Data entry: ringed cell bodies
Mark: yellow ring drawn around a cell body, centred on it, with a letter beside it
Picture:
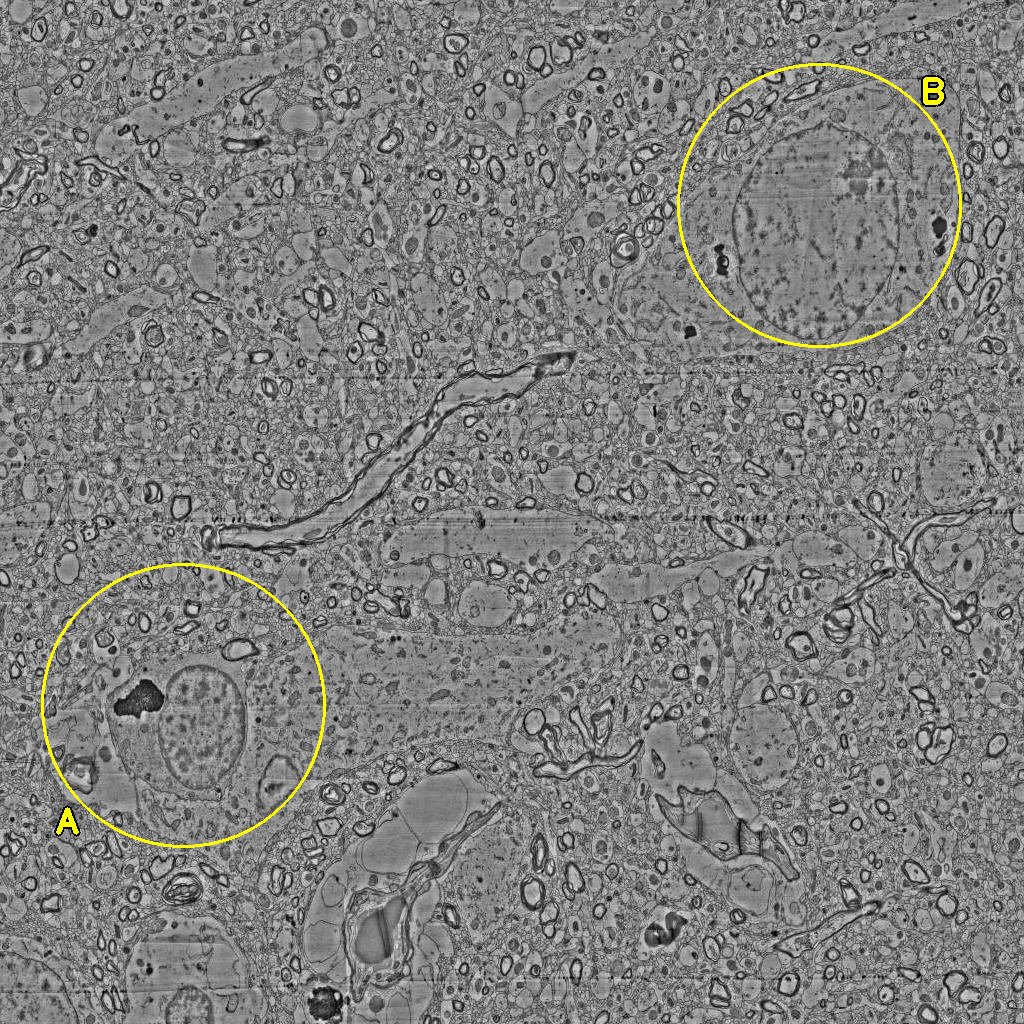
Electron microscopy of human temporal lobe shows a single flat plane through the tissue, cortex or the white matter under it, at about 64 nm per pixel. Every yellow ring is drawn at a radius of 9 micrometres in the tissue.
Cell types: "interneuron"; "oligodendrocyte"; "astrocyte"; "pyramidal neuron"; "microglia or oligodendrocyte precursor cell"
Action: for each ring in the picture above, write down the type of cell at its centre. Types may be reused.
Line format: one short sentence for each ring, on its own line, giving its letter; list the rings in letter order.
For ring A, the cell at the centre is an oligodendrocyte.
For ring B, the cell at the centre is an interneuron.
